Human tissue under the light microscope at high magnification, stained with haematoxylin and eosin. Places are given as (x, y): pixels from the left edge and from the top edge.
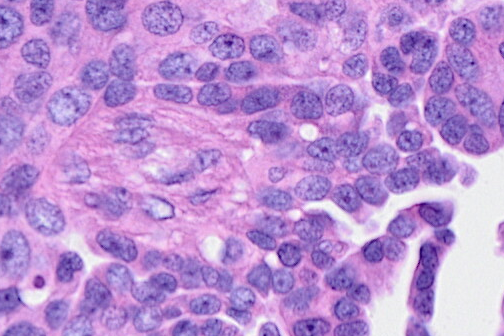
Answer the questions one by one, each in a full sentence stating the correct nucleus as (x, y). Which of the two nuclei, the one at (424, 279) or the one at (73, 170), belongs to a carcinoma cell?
Belonging to a carcinoma cell is the nucleus at (424, 279).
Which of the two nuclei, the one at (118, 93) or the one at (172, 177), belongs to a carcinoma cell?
The nucleus belonging to a carcinoma cell is the one at (118, 93).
